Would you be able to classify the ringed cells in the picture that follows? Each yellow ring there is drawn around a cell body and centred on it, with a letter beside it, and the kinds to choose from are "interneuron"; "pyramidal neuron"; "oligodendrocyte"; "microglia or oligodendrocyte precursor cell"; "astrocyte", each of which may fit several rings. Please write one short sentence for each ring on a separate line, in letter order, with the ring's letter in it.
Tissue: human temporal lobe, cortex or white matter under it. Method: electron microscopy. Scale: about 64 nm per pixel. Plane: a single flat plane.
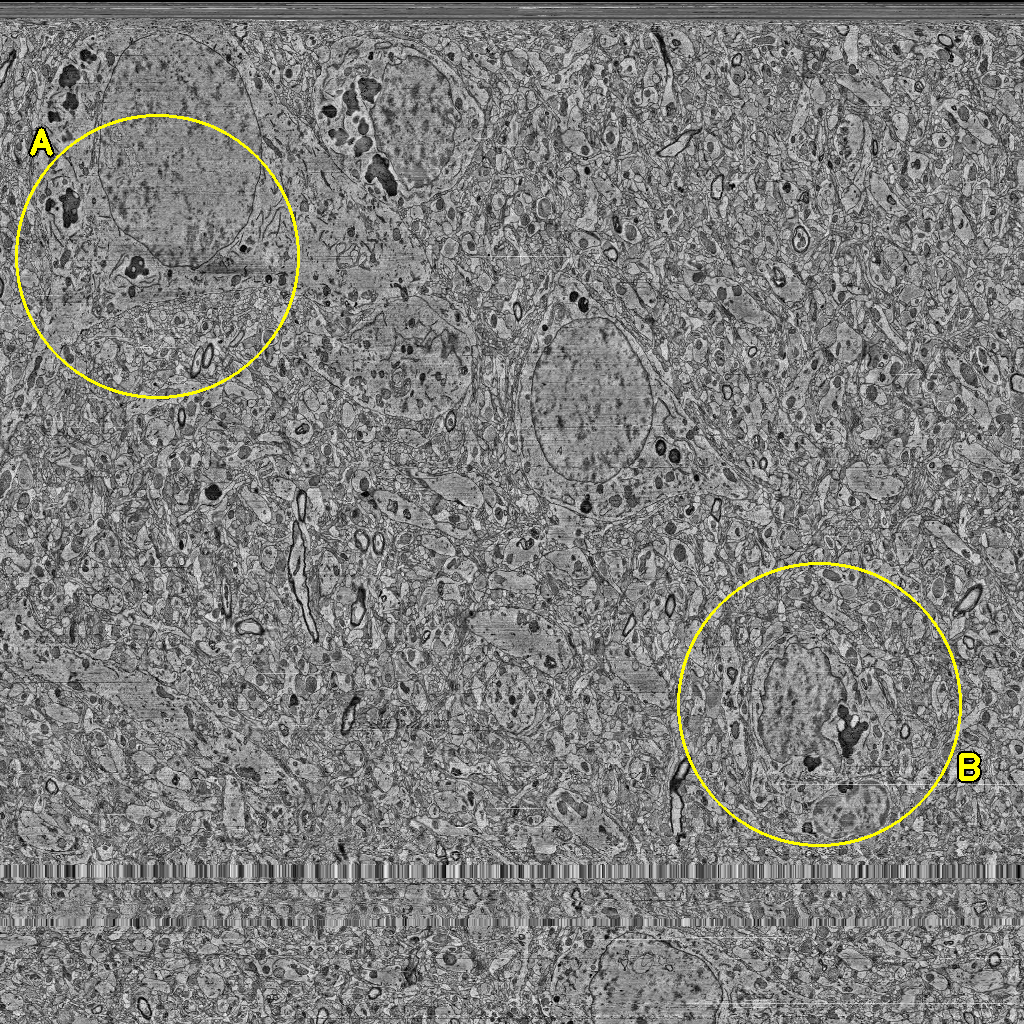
The cell body at the centre of ring A belongs to a pyramidal neuron.
The cell body at the centre of ring B belongs to an interneuron.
